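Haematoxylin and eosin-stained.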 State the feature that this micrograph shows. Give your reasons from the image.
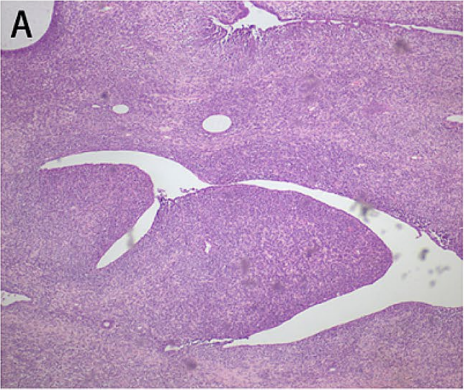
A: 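Phyllodes-like structure. Broad leaf-like cellular stromal projections bulge into slit-like spaces. The slit-like spaces are lined by a thin layer of epithelium. The stroma is densely cellular and purple at low power.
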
